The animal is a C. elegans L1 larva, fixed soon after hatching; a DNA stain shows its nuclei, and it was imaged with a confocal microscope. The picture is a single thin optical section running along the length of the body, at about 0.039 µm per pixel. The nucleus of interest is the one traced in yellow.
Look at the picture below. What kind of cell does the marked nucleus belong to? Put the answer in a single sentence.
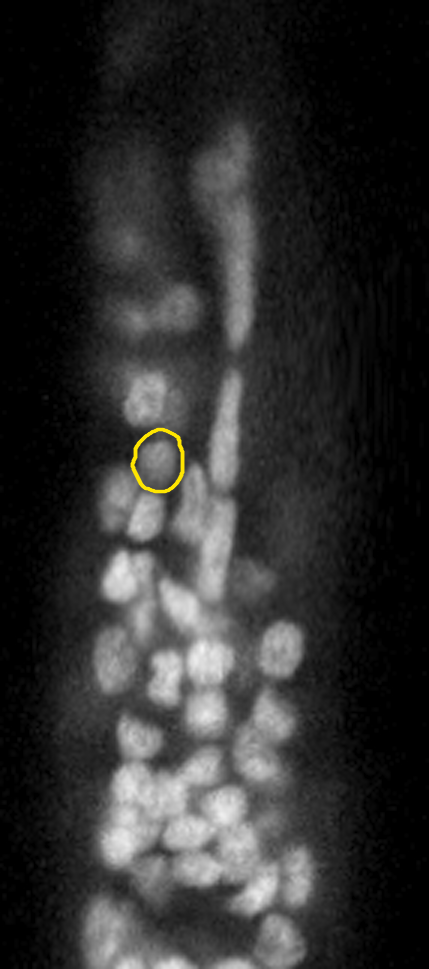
The marked nucleus is that of a glial cell (sheath or socket).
